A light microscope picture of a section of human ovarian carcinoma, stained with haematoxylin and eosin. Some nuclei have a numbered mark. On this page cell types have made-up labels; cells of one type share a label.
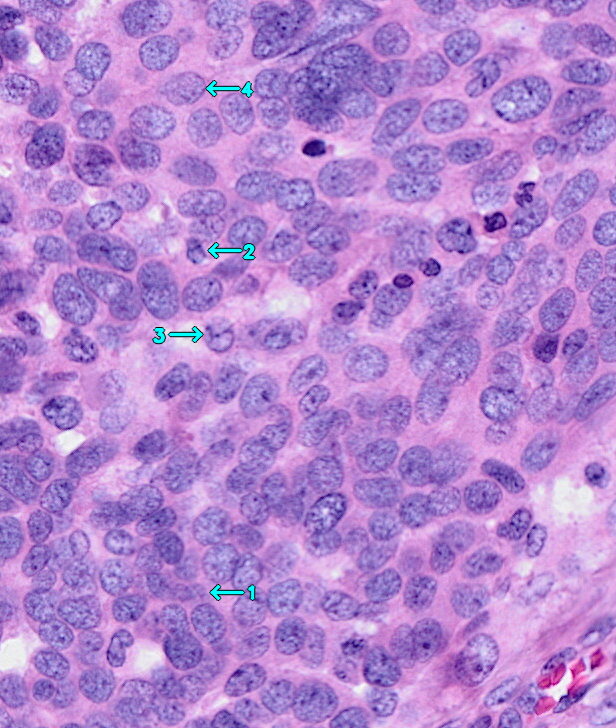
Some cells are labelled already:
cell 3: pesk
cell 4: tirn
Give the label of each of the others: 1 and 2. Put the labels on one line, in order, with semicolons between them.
tirn; pesk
